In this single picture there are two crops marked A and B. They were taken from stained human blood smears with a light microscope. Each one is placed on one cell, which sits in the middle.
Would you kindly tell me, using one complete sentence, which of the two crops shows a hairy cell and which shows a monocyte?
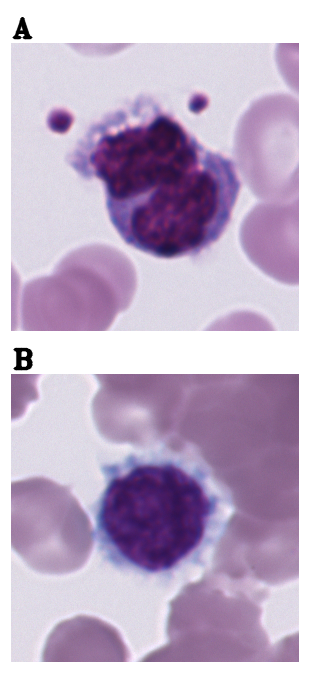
As for crop A, it is a monocyte; crop B, by contrast, is a hairy cell.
